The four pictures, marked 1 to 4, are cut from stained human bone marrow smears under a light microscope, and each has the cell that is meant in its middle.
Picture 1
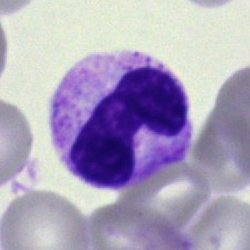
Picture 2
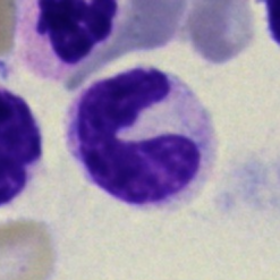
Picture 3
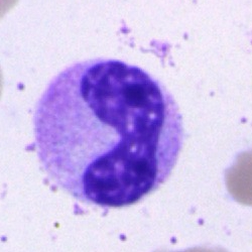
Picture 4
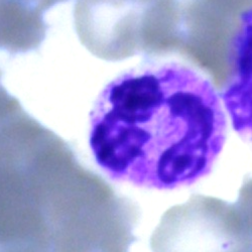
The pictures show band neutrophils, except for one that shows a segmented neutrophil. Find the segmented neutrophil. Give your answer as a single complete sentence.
Picture 4 is the one that shows the segmented neutrophil.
